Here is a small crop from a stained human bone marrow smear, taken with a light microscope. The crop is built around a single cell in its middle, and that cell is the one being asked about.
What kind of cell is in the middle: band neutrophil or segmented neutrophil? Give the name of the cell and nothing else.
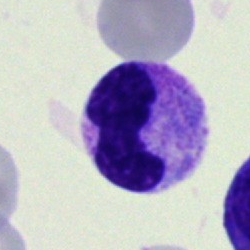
band neutrophil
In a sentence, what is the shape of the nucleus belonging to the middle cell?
If you check the nucleus, you will find one compact mass, round, oval or kidney-shaped.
